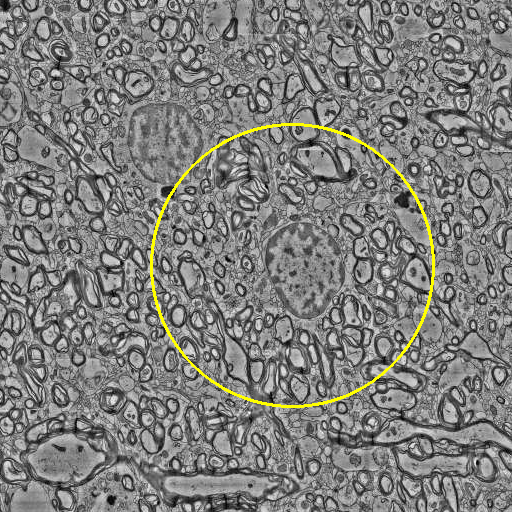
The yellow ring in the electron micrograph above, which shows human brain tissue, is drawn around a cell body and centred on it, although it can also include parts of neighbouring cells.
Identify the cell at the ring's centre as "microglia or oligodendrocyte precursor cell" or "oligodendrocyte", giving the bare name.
microglia or oligodendrocyte precursor cell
